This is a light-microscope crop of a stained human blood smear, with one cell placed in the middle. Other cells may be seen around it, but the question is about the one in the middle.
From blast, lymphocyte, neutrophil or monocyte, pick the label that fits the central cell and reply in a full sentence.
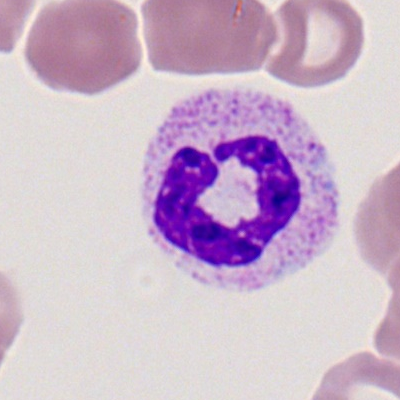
The middle of this crop is occupied by a neutrophil.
